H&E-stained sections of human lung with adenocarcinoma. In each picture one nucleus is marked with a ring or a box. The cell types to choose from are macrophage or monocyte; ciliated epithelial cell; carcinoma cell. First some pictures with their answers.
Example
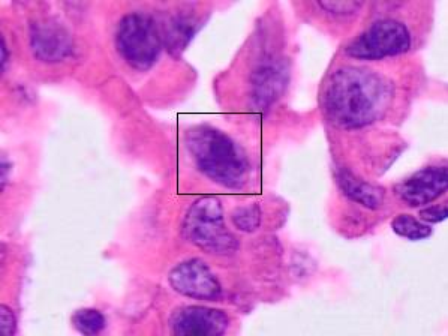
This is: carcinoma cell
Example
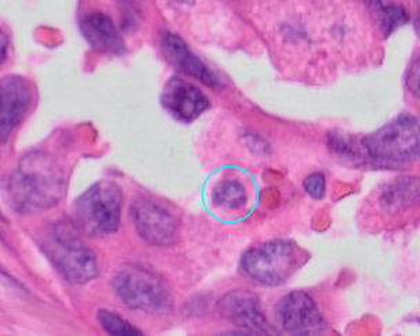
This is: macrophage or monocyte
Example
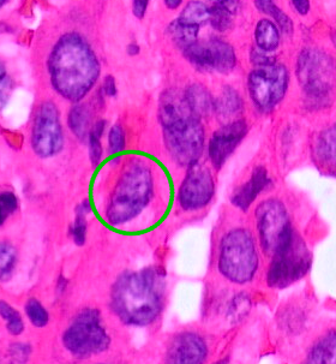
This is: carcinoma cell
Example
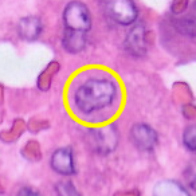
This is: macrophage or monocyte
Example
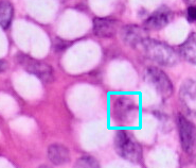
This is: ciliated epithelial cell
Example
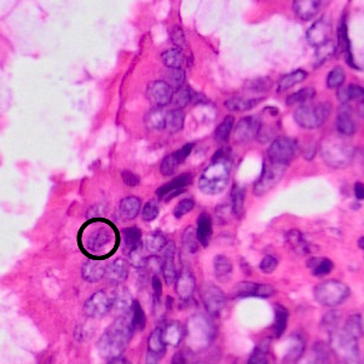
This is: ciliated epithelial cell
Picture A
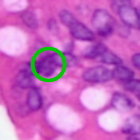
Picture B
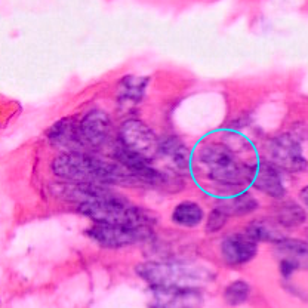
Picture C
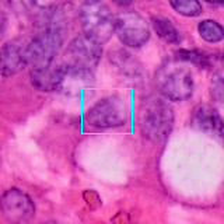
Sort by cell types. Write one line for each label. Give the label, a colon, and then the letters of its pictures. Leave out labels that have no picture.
ciliated epithelial cell: A, B, C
